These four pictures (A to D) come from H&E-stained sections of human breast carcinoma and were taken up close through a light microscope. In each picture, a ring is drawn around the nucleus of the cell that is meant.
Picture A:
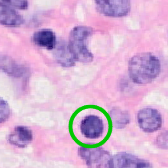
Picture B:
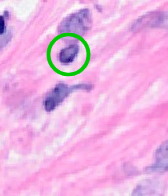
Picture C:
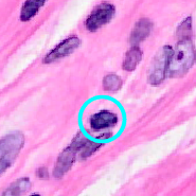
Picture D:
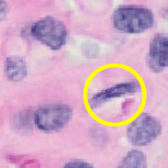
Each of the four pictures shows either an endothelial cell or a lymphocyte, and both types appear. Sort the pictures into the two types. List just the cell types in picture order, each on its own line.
lymphocyte
lymphocyte
lymphocyte
endothelial cell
